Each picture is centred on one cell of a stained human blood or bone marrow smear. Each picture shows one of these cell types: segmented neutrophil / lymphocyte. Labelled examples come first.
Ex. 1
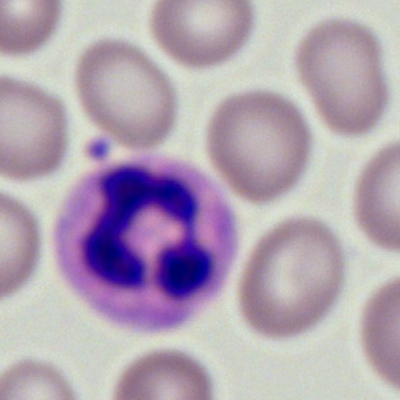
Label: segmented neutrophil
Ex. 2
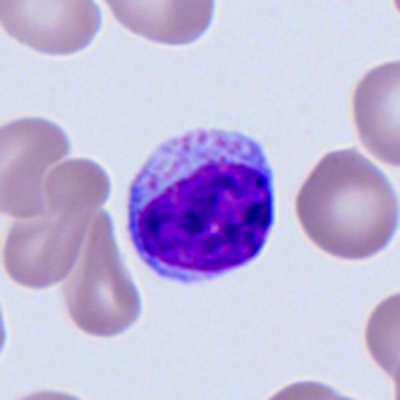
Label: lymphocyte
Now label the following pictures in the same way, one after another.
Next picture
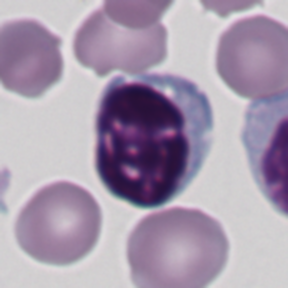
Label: lymphocyte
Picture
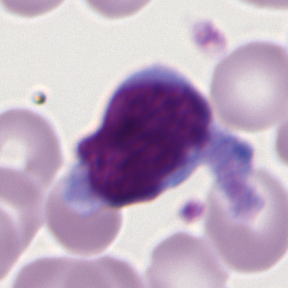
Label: lymphocyte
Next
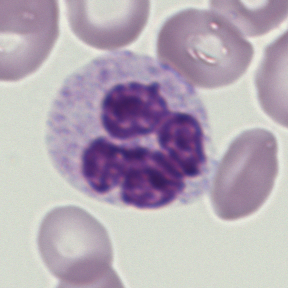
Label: segmented neutrophil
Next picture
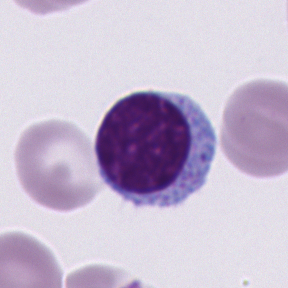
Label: lymphocyte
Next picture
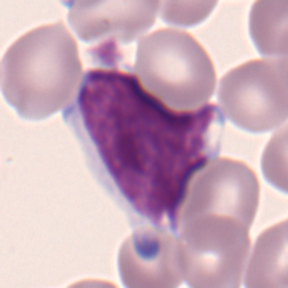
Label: lymphocyte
